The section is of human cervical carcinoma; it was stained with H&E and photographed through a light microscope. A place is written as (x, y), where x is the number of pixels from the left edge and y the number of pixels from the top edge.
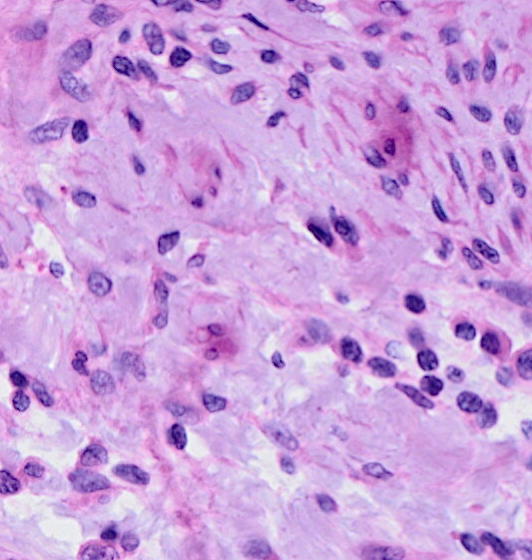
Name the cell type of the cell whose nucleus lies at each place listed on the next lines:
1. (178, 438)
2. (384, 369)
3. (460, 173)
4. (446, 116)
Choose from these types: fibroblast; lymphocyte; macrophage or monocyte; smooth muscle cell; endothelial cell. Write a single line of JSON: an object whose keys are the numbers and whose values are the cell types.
{"1": "lymphocyte", "2": "lymphocyte", "3": "smooth muscle cell", "4": "smooth muscle cell"}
